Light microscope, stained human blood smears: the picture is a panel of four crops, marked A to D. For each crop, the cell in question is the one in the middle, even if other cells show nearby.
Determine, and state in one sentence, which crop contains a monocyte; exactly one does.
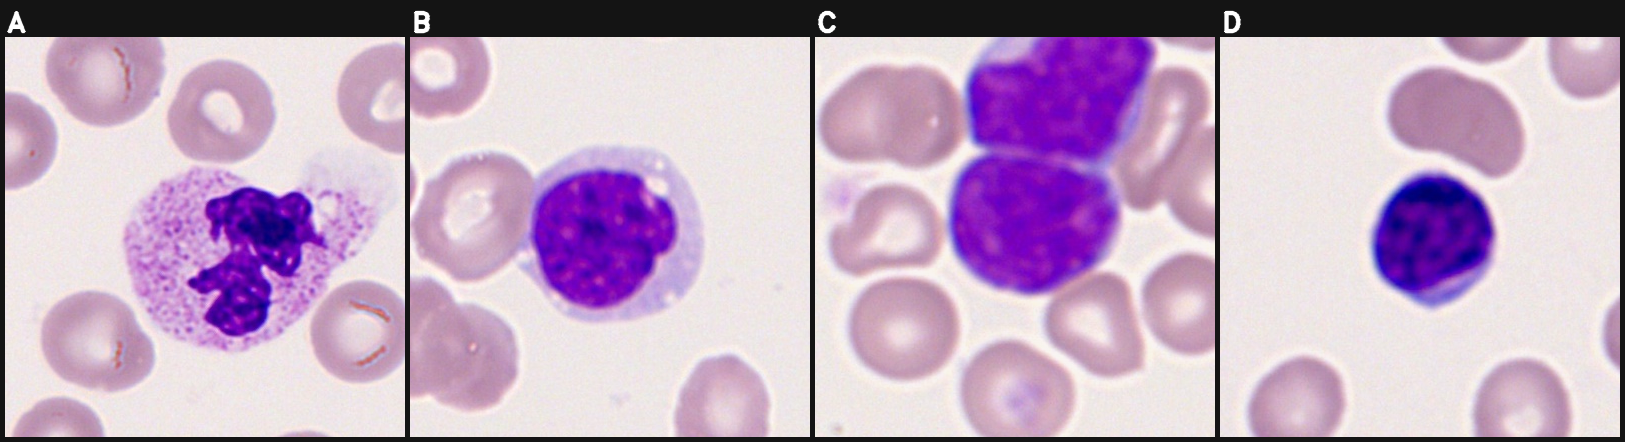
The cell at the center of crop B is the one that is a monocyte.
